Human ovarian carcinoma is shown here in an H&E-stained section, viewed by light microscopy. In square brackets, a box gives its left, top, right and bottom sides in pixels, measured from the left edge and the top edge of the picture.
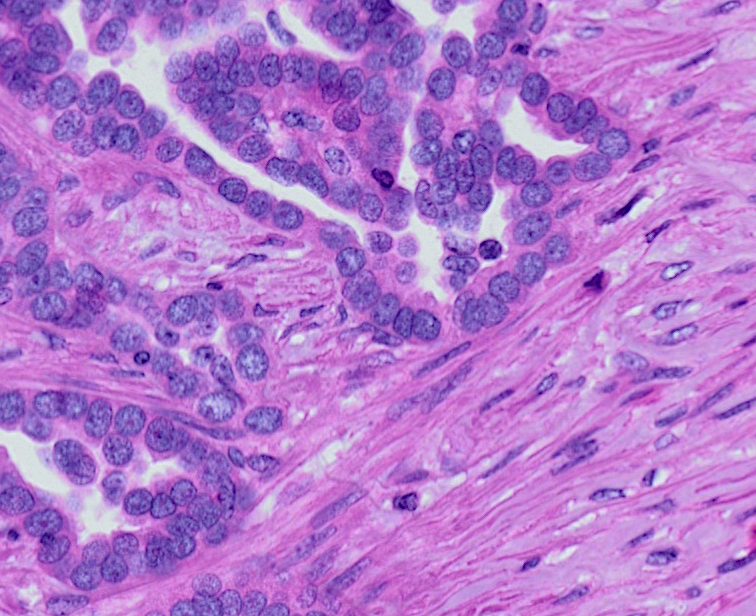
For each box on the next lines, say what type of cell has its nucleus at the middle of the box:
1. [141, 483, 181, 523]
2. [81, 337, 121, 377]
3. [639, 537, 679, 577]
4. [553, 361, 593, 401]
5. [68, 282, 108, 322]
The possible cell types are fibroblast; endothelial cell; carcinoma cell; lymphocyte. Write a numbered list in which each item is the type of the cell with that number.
1. carcinoma cell
2. fibroblast
3. fibroblast
4. fibroblast
5. carcinoma cell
